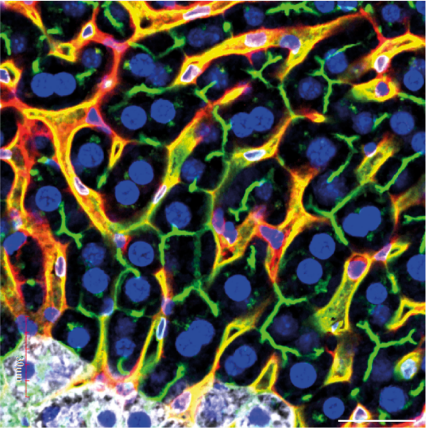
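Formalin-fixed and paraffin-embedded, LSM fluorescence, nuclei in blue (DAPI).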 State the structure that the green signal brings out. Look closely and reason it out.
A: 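Bile canaliculi. Thin green lines run between neighbouring hepatocytes. The green lines are much narrower than the red-yellow channels.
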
